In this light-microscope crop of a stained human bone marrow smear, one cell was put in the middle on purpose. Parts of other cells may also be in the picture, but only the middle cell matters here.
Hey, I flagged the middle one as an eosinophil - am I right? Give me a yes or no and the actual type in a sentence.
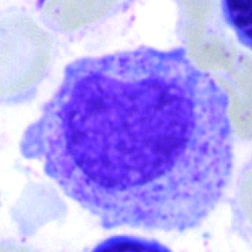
No, the central cell qualifies as a promyelocyte rather than as an eosinophil.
